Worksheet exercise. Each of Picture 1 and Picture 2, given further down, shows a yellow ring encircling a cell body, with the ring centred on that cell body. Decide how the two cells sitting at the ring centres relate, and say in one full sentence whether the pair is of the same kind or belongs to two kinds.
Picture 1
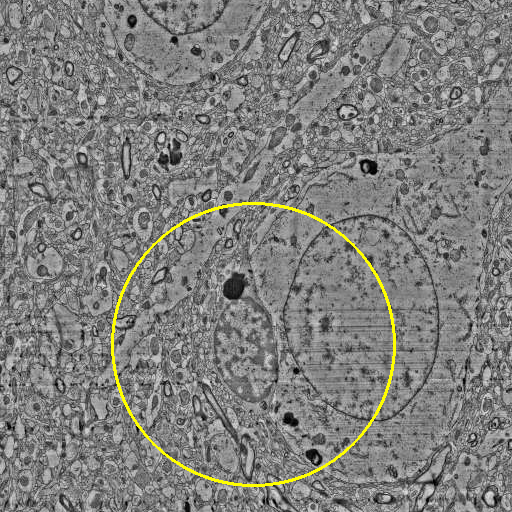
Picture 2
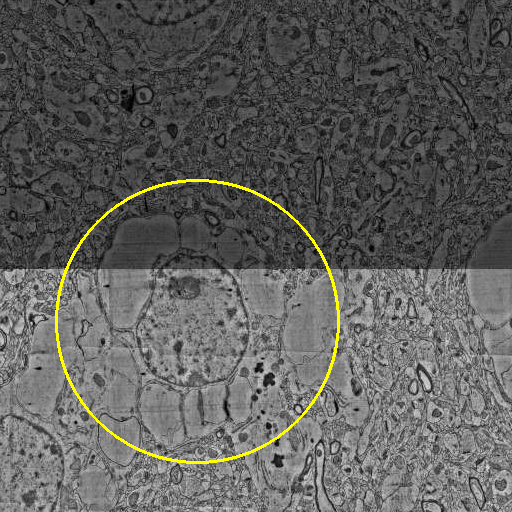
The cells at the ring centres in Picture 1 and Picture 2 belong to two kinds.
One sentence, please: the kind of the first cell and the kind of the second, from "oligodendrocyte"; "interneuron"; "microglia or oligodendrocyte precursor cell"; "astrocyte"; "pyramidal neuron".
The ring in the first picture surrounds an oligodendrocyte, and the ring in the second surrounds an astrocyte.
